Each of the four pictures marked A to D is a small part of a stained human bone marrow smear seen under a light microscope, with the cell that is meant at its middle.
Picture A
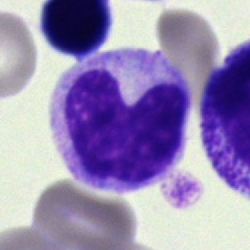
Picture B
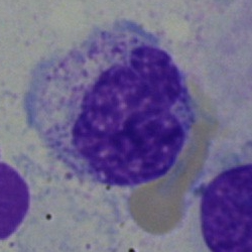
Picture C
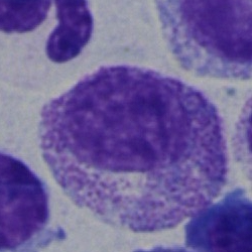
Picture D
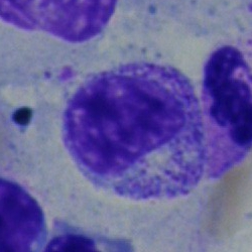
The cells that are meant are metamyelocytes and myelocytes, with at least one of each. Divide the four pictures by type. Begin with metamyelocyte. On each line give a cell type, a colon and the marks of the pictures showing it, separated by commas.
metamyelocyte: A, B
myelocyte: C, D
